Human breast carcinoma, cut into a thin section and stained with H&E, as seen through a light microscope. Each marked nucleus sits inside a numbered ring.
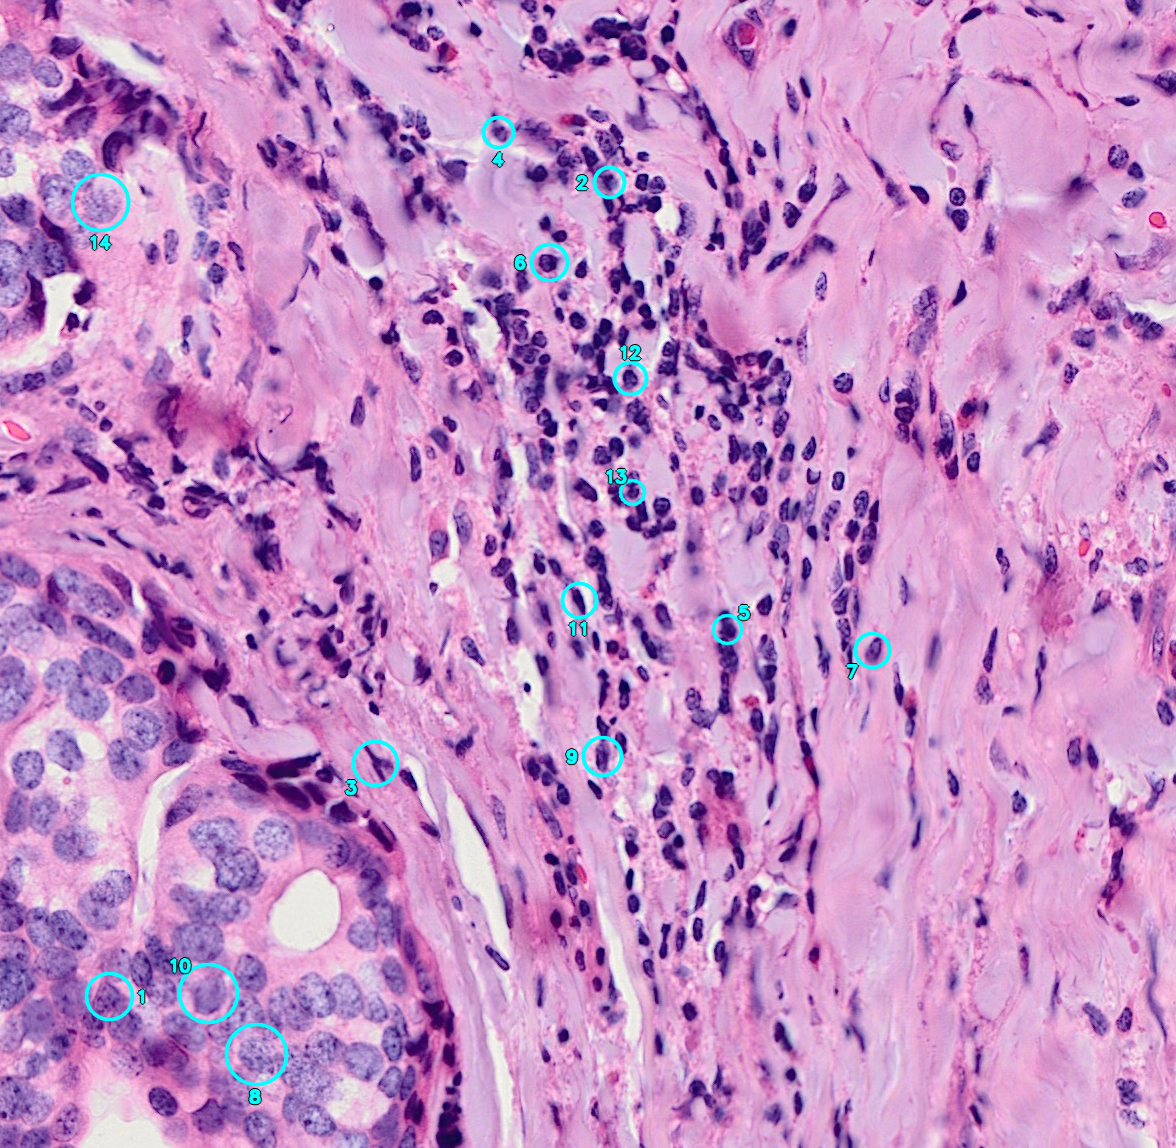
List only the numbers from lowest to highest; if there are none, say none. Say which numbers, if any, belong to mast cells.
7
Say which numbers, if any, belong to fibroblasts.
3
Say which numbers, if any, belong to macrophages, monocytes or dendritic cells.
none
